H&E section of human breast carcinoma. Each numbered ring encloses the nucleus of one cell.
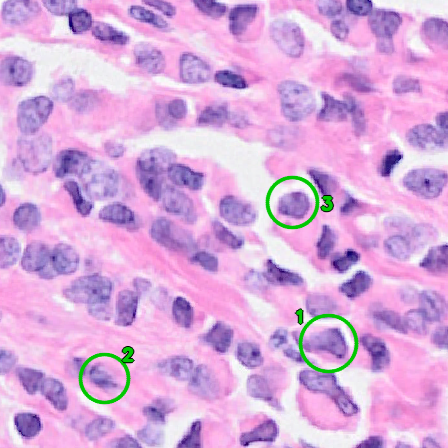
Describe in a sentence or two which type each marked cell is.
Cell 1 is a carcinoma cell, cell 2 is an endothelial cell and cell 3 is a carcinoma cell.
